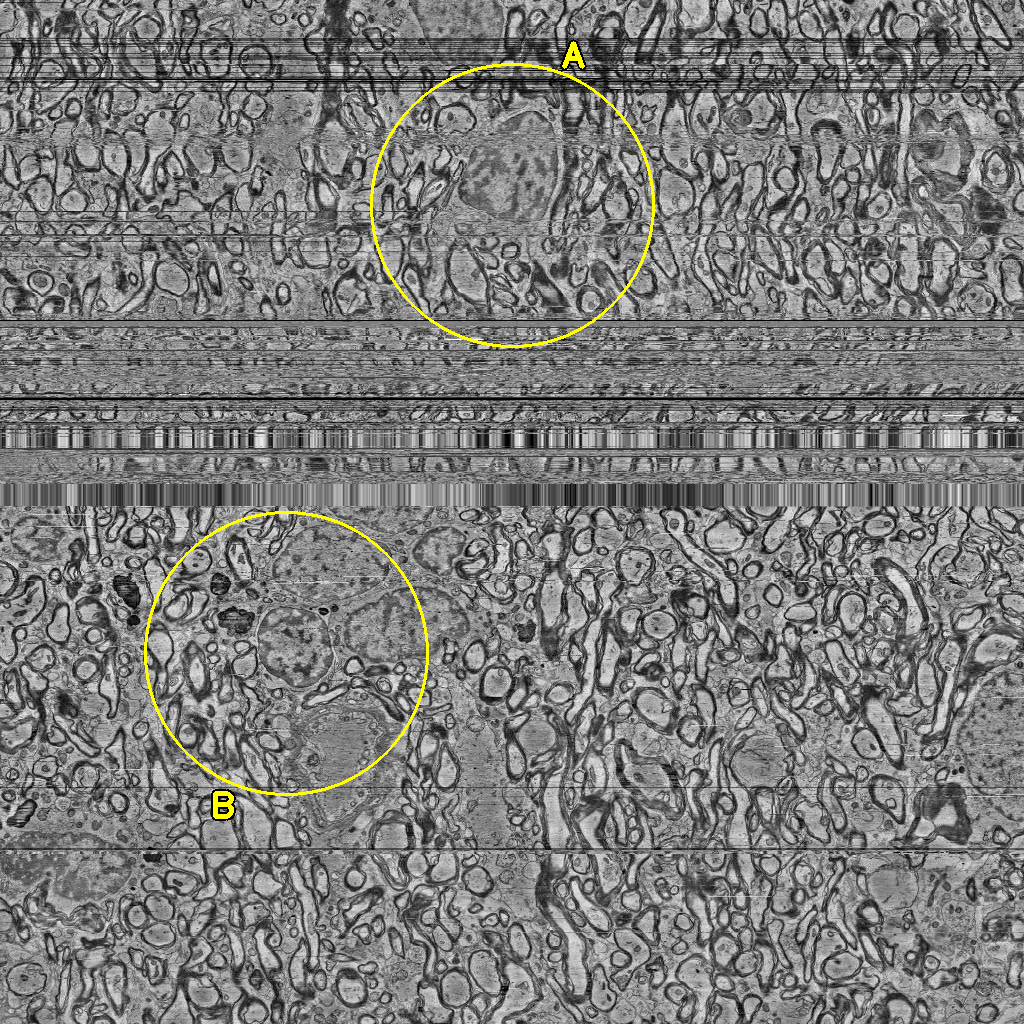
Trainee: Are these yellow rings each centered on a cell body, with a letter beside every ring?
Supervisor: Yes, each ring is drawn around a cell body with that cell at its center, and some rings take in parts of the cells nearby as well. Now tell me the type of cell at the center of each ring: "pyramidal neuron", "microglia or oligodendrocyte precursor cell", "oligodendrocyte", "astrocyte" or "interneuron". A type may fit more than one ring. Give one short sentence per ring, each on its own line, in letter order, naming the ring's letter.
Ring A has a microglial cell or oligodendrocyte precursor cell at its center.
Ring B has a microglial cell or oligodendrocyte precursor cell at its center.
